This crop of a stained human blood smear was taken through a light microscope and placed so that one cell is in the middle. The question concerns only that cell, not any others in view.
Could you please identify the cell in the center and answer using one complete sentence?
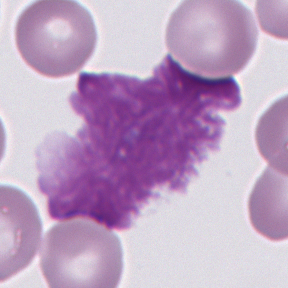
The center cell of this crop is a smudge cell.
